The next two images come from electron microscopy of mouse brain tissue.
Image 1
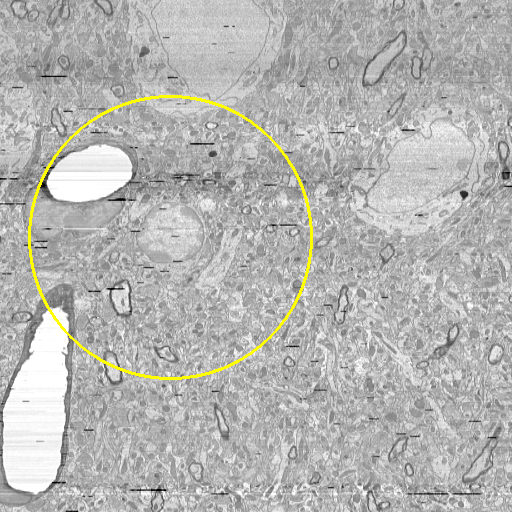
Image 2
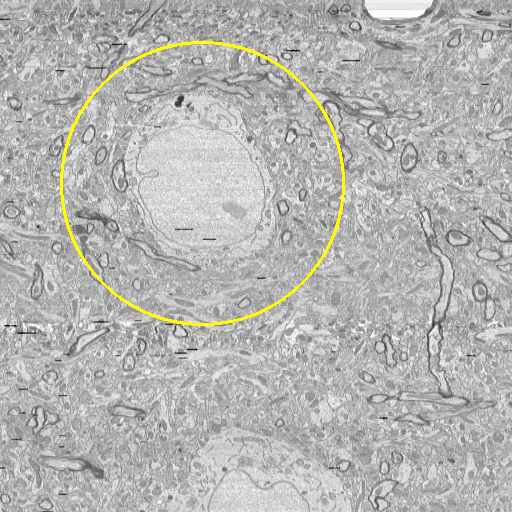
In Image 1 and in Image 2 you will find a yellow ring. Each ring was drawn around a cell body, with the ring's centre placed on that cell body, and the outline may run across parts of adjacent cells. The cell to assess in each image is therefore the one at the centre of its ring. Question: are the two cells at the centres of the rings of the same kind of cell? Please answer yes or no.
no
